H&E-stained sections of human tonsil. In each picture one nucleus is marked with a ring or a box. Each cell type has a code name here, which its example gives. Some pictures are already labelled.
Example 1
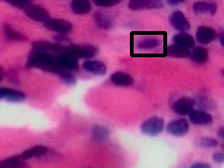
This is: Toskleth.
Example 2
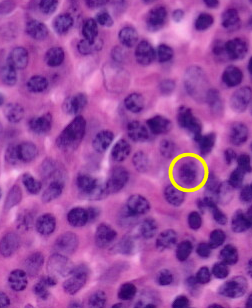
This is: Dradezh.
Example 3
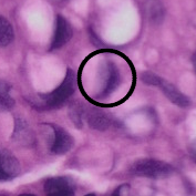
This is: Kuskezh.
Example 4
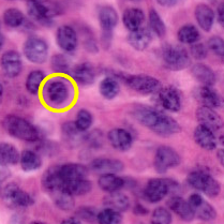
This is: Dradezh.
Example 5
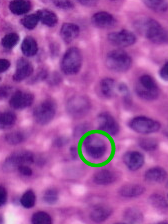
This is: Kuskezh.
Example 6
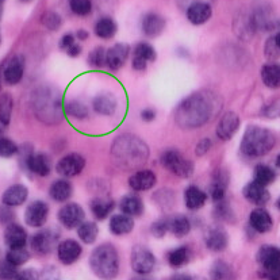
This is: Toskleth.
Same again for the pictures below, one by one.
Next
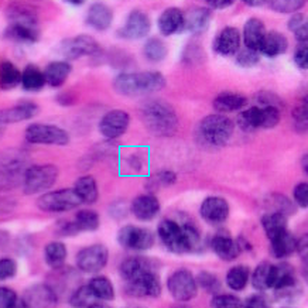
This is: Toskleth.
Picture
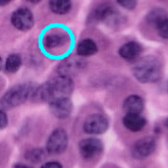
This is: Dradezh.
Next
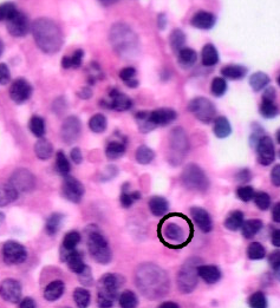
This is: Toskleth.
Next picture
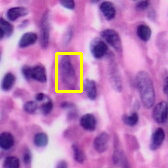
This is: Toskleth.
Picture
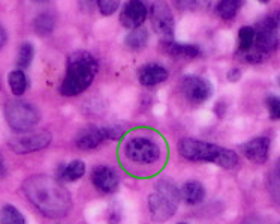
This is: Dradezh.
